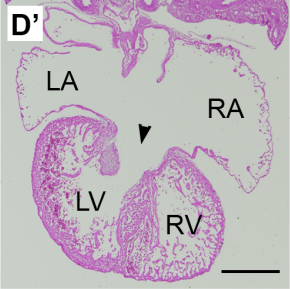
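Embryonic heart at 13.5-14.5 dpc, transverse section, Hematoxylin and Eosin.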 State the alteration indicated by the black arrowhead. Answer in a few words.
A: Atrioventricular canal defect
